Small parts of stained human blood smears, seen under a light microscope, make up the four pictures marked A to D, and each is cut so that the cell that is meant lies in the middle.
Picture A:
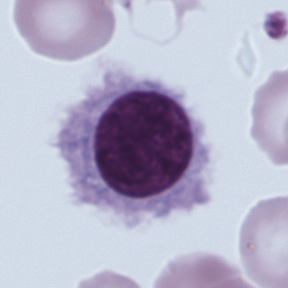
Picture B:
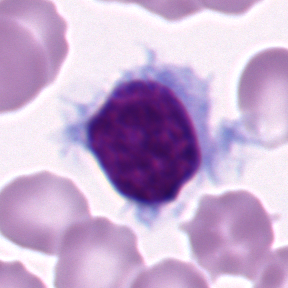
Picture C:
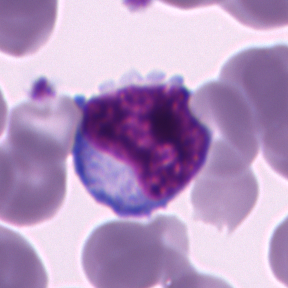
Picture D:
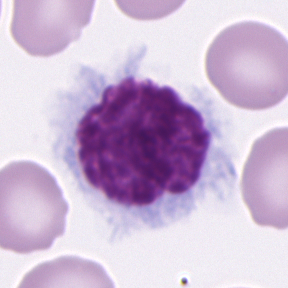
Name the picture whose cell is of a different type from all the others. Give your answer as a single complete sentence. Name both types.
Unlike the rest, which show hairy cells, picture C shows a typical lymphocyte.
